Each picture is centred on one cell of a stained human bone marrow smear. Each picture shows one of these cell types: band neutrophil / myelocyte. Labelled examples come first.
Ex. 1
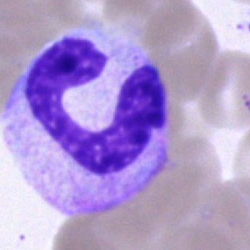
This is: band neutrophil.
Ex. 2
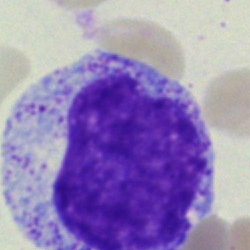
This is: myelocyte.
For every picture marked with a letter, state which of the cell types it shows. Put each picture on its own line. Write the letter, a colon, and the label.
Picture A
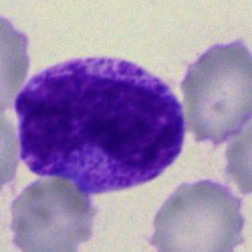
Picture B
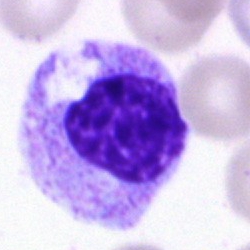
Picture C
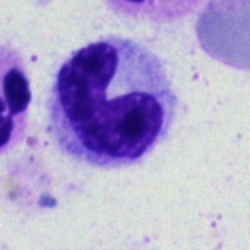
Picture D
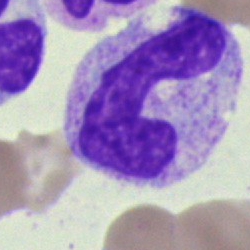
A: myelocyte.
B: myelocyte.
C: band neutrophil.
D: band neutrophil.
